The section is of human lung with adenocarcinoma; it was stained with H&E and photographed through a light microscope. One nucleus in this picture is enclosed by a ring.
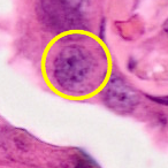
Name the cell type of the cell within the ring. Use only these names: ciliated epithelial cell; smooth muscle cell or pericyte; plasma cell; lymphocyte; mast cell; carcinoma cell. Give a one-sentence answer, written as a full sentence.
In this preparation, the cell within the ring is a carcinoma cell.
